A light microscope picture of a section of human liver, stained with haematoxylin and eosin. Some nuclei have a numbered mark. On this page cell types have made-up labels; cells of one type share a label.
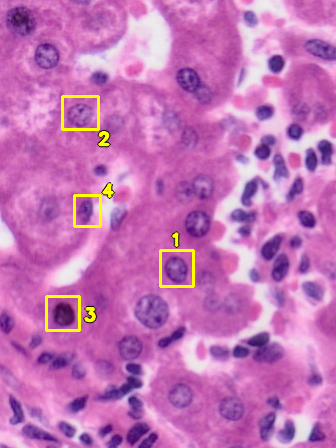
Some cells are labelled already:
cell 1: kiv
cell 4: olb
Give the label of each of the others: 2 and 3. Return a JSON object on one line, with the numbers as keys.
{"2": "kiv", "3": "kiv"}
